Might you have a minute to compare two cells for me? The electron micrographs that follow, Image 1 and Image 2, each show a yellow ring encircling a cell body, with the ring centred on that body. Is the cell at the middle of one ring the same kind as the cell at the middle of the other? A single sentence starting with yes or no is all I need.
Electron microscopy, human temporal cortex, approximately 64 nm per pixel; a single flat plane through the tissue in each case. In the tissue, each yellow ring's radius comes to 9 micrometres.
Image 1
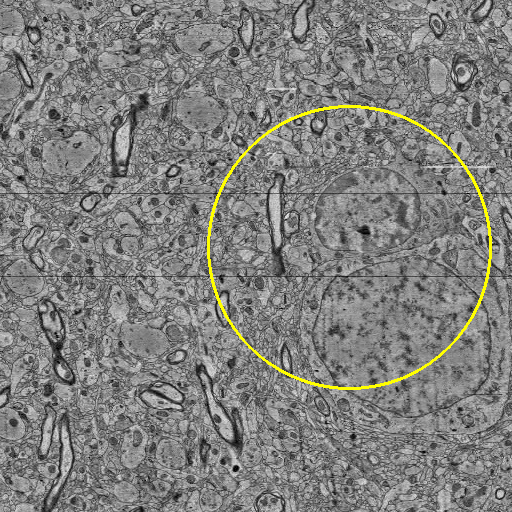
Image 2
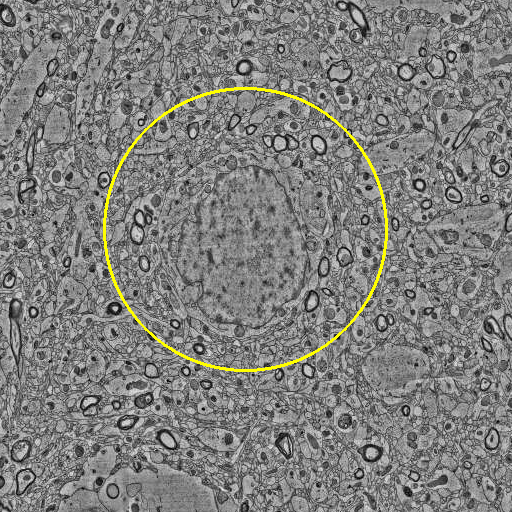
No, the cells in the middle of the two rings are of two separate kinds.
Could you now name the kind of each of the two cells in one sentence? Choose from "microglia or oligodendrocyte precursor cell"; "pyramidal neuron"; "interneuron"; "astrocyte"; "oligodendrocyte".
The first ring encloses an oligodendrocyte; the second ring encloses an interneuron.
